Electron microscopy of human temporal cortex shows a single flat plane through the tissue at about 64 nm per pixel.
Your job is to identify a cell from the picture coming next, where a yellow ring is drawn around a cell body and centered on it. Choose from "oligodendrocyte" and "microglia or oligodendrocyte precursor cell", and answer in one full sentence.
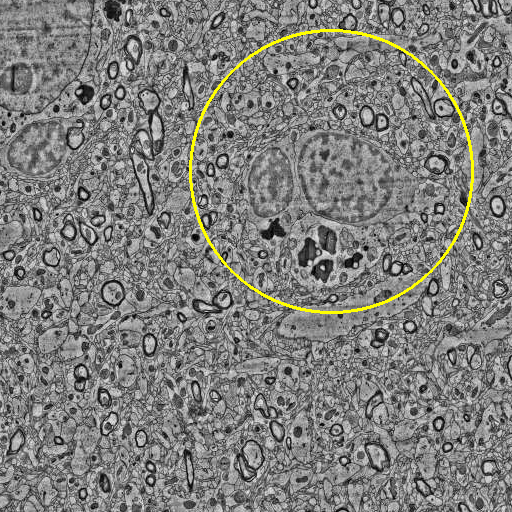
Centered in the yellow ring of the picture is the body of an oligodendrocyte.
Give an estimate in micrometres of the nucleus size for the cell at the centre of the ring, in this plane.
The nucleus is about 6 micrometres across in this plane.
